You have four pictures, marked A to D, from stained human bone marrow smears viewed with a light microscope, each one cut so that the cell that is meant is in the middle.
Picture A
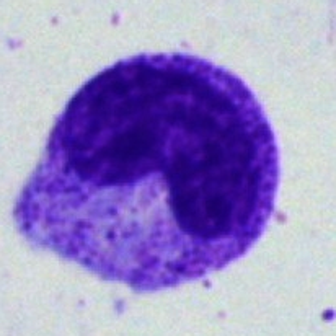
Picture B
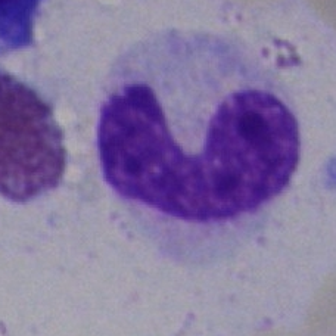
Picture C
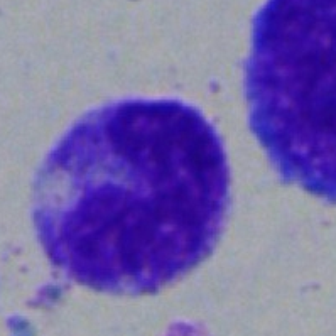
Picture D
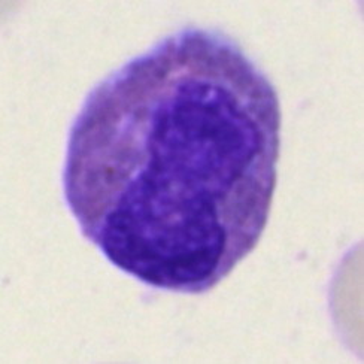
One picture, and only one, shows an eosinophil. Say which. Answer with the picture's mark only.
D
